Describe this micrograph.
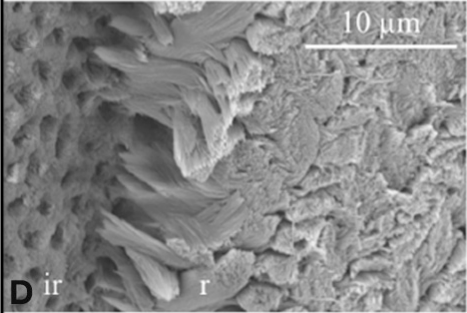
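This is a fractured surface of tooth enamel seen at high magnification. On the left, a flatter region is perforated by many small, round holes set close together. Across the middle, bundles of long, parallel, fibre-like crystallites project diagonally from the broken surface as separated rods. On the right, the surface is rough and irregular, made of small angular fragments.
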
